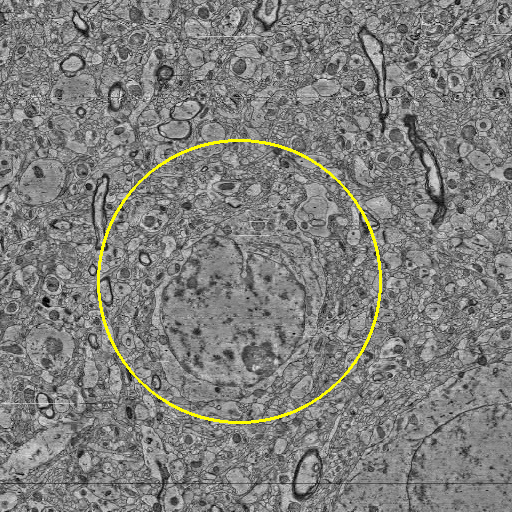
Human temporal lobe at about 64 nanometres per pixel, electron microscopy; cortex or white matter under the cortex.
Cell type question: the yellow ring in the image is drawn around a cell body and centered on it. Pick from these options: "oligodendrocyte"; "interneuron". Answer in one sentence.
The ringed cell at the center is an interneuron.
